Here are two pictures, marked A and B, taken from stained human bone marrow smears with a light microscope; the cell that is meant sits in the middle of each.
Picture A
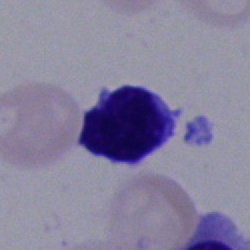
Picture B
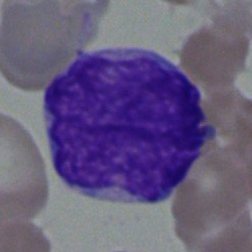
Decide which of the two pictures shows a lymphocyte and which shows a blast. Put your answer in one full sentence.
Picture A shows a lymphocyte and picture B shows a blast.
